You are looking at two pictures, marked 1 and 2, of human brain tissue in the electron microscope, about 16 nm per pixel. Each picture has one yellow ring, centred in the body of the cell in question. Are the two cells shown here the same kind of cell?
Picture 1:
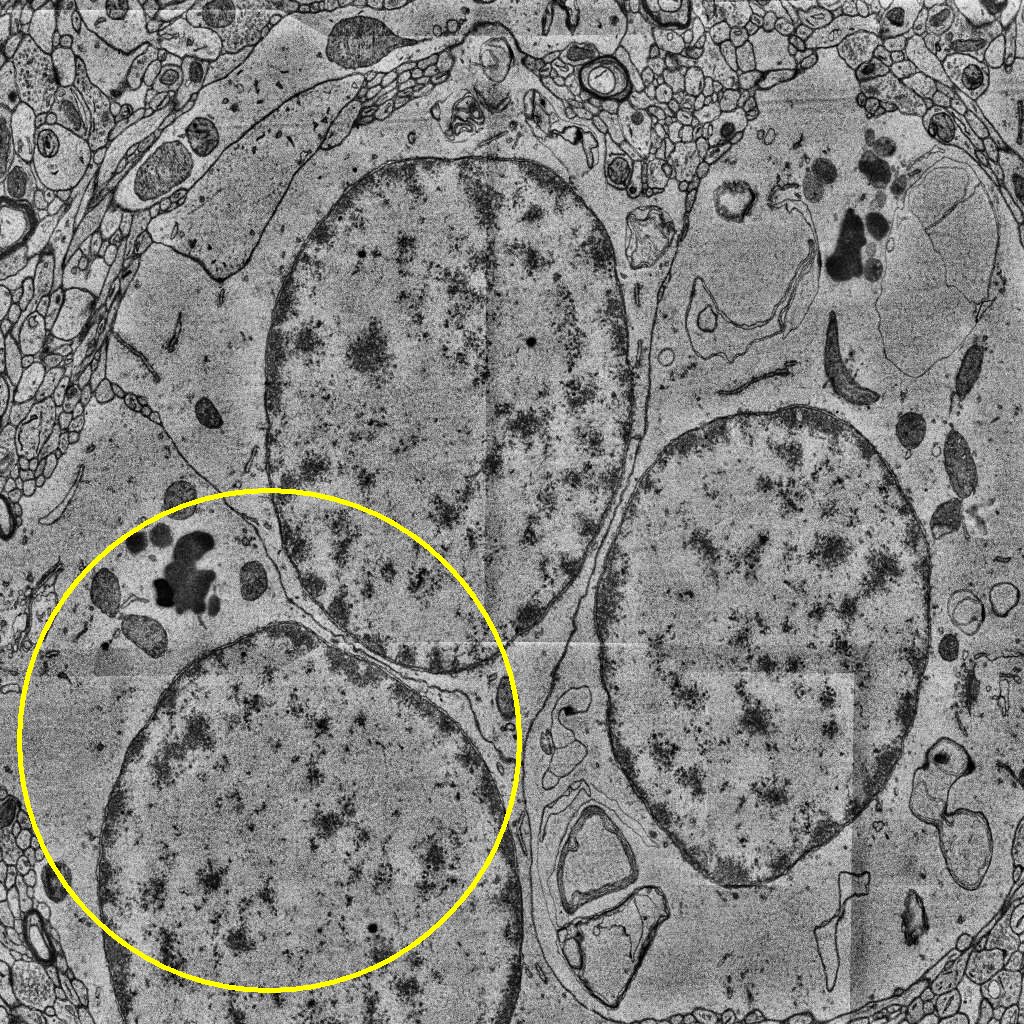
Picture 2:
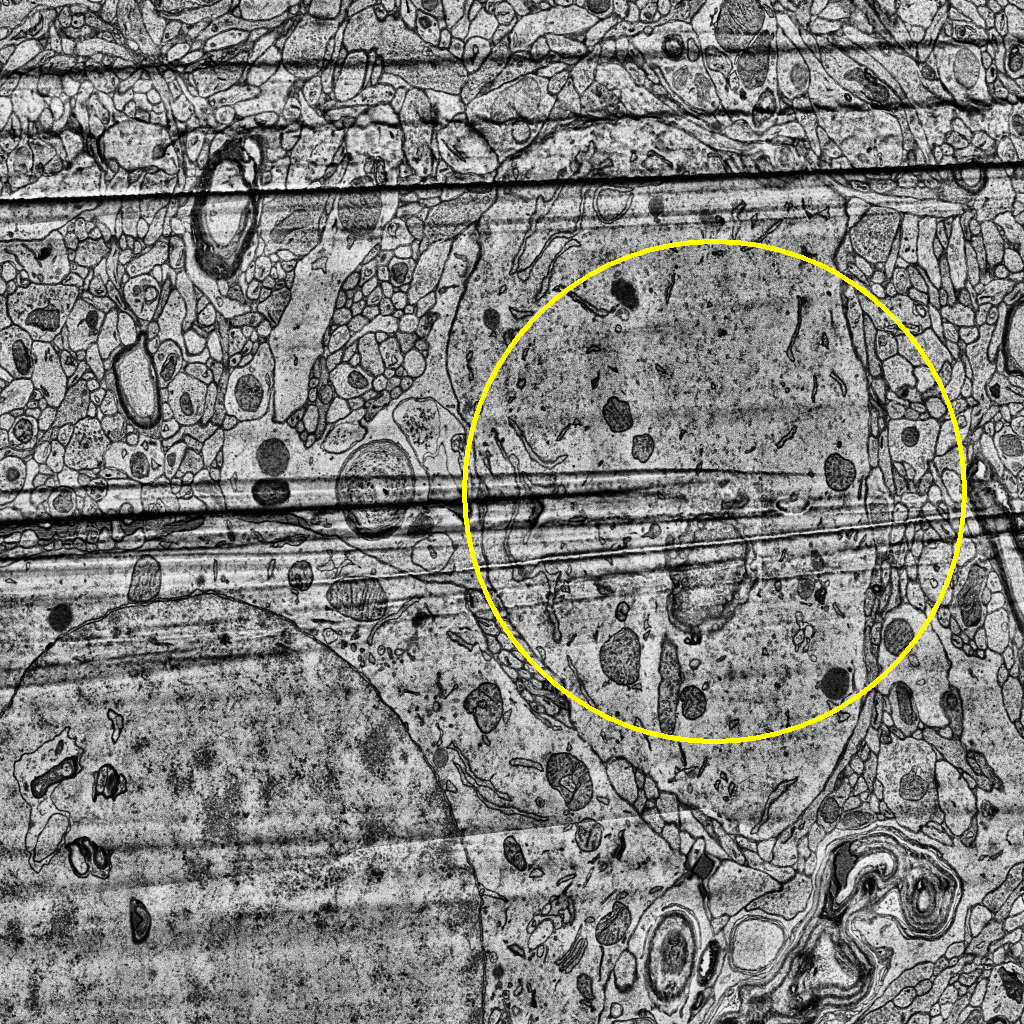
No, the types are not the same, since picture 1 shows an astrocyte and picture 2 a pyramidal neuron.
